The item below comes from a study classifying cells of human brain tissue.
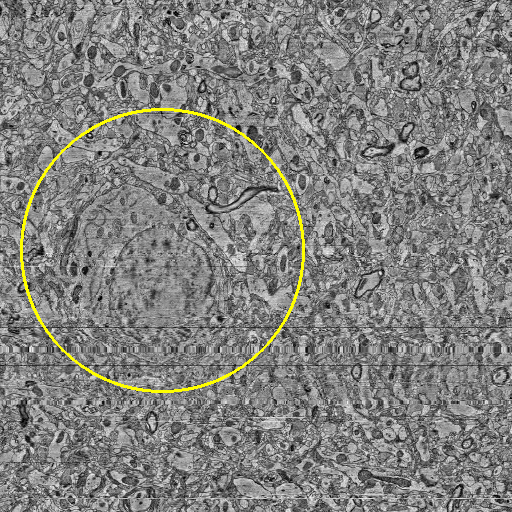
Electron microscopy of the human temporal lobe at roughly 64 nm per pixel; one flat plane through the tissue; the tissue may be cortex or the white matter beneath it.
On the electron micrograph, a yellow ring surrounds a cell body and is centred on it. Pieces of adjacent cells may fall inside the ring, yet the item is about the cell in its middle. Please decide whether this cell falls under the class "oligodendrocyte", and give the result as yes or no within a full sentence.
No, the cell at the middle of the ring on the micrograph is of another kind.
